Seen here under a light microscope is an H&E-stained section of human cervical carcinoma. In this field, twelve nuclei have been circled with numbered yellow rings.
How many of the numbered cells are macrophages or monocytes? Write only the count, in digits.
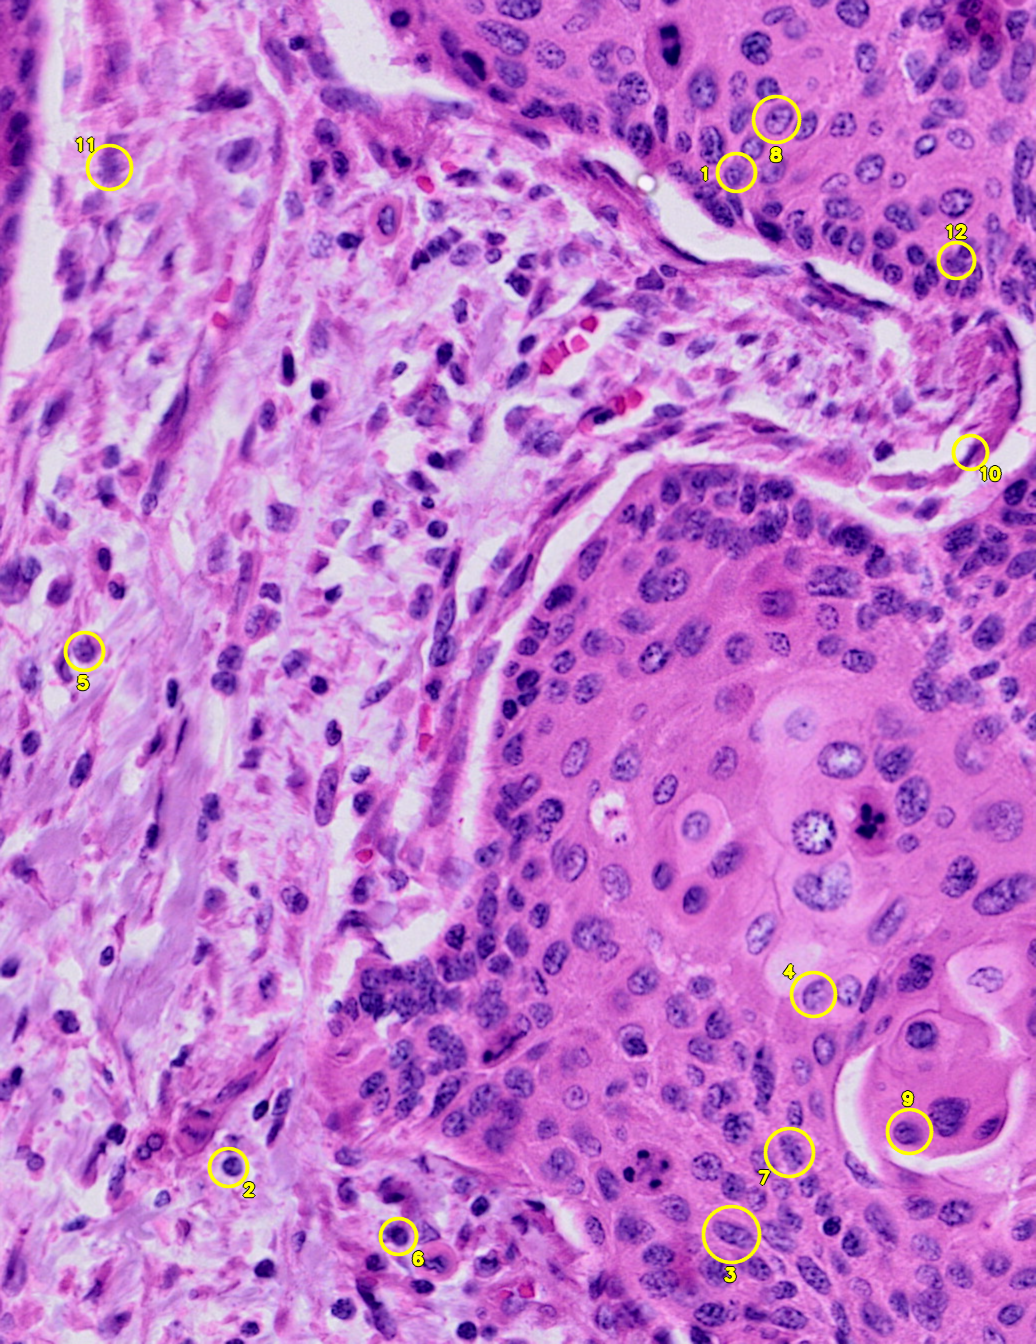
1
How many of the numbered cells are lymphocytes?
2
